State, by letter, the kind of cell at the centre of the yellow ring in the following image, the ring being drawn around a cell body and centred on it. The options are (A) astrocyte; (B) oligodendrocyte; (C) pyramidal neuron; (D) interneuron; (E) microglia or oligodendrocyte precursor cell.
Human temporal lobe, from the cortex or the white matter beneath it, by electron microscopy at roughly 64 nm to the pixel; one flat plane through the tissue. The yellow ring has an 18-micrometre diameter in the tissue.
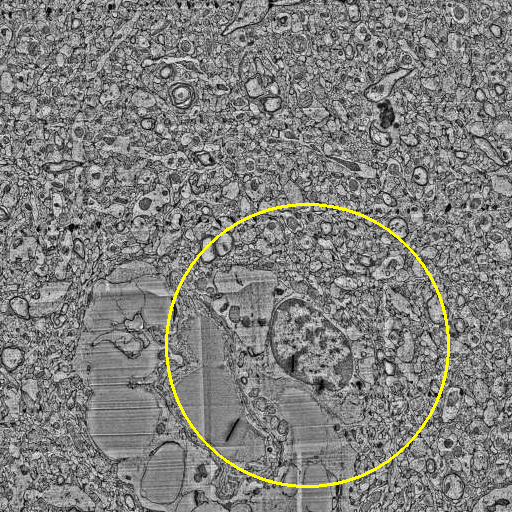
E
